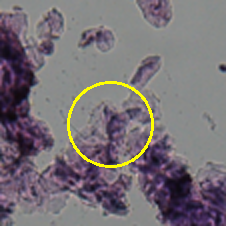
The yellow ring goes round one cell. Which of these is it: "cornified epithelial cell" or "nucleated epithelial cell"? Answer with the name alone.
cornified epithelial cell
